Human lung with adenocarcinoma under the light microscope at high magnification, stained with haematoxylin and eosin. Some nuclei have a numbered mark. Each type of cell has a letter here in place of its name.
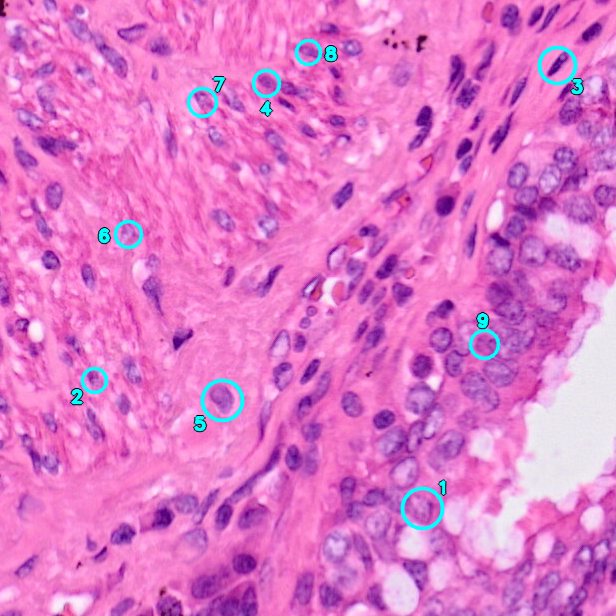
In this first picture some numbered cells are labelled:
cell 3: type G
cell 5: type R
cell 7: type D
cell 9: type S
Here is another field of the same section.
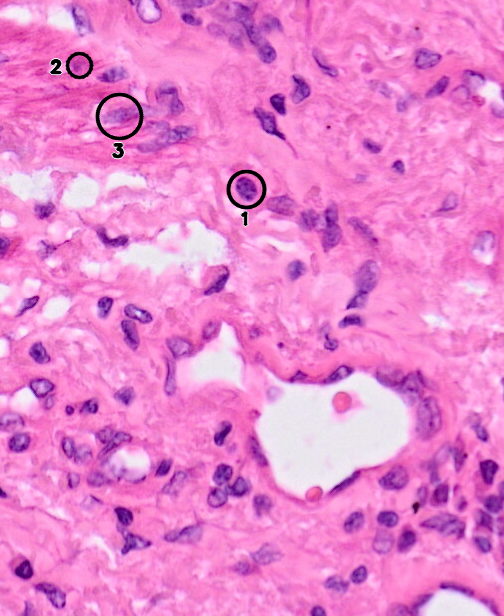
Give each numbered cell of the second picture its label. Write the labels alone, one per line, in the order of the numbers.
type G
type D
type D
